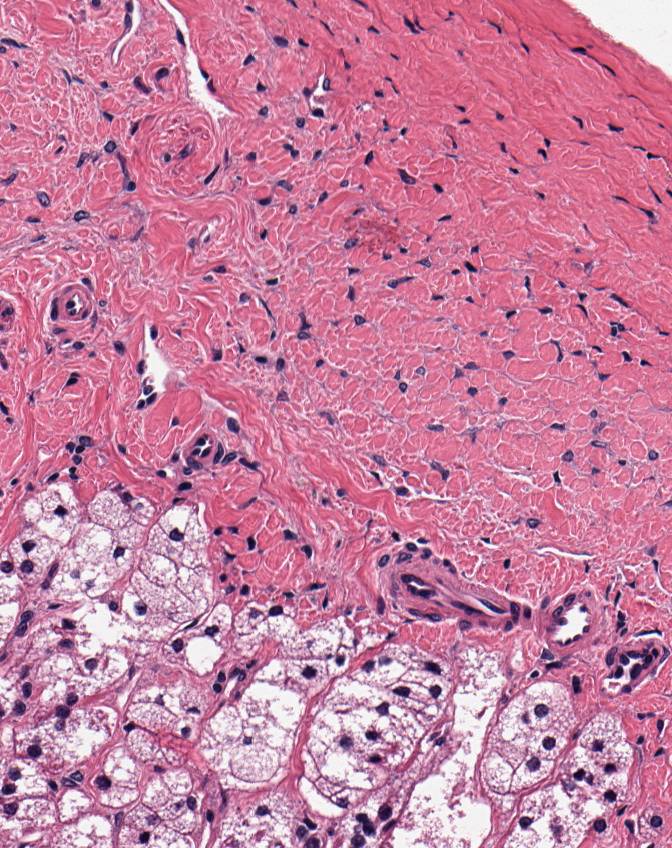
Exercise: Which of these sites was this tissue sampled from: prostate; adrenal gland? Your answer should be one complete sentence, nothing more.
This section of tissue was taken from the adrenal gland.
